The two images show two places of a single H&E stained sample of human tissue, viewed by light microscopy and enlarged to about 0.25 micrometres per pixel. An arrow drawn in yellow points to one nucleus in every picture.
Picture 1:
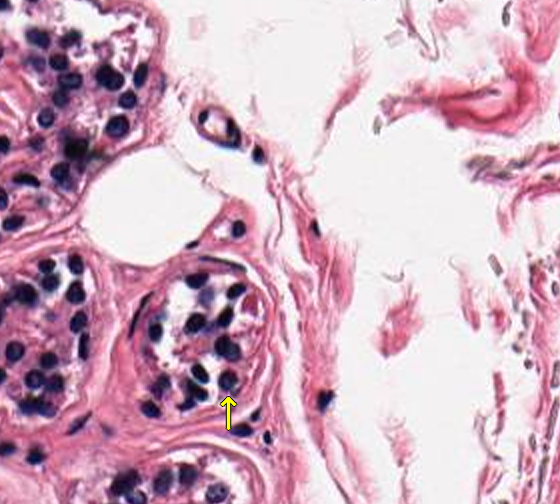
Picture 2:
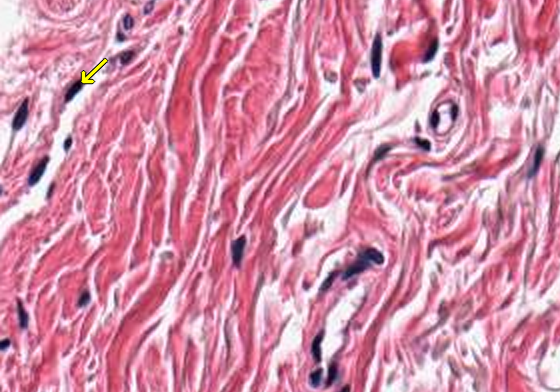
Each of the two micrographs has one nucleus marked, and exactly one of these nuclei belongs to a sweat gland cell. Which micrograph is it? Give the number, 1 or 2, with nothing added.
1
